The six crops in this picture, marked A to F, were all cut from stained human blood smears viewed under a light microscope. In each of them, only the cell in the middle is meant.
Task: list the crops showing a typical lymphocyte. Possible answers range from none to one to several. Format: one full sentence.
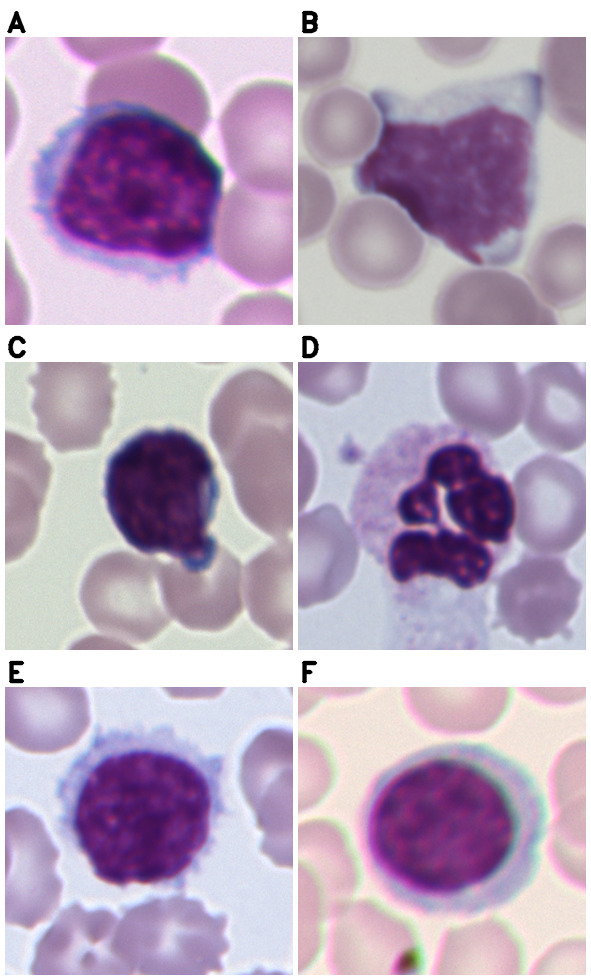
Within this set, crops A, B, C and F show typical lymphocytes.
